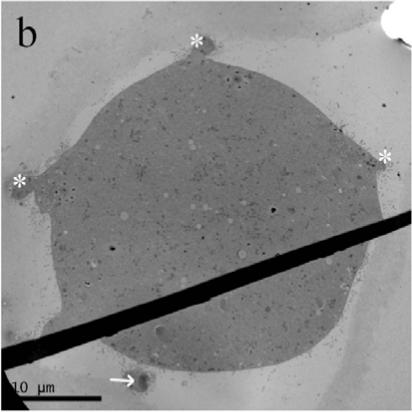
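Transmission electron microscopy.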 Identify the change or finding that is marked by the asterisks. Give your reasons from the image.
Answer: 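Blebs protruded from the cytoplasm. Small rounded knobs bulge from the cell edge at the marked spots.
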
